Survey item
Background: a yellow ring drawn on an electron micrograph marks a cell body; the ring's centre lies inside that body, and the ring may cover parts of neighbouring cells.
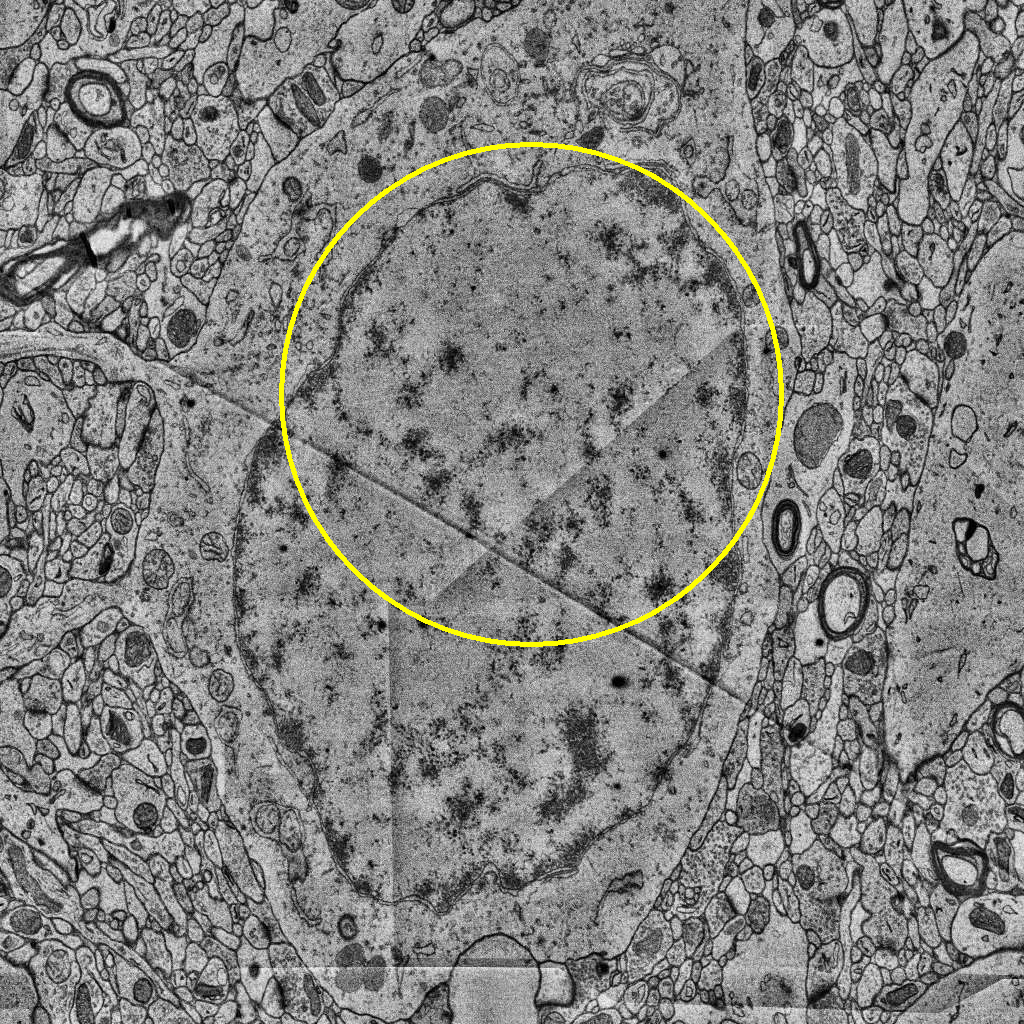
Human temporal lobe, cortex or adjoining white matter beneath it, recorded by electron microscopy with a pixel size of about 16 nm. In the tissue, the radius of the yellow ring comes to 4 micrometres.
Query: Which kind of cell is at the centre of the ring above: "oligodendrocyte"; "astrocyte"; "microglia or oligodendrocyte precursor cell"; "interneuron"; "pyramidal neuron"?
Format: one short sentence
The cell in the middle of the ring is an interneuron.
